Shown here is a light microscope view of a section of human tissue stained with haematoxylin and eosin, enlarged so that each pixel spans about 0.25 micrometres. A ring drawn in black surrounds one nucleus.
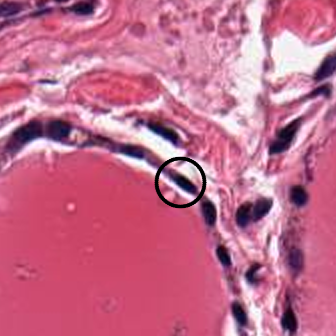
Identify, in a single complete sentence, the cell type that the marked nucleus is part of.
What is marked is the nucleus of a thyroid follicular cell.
